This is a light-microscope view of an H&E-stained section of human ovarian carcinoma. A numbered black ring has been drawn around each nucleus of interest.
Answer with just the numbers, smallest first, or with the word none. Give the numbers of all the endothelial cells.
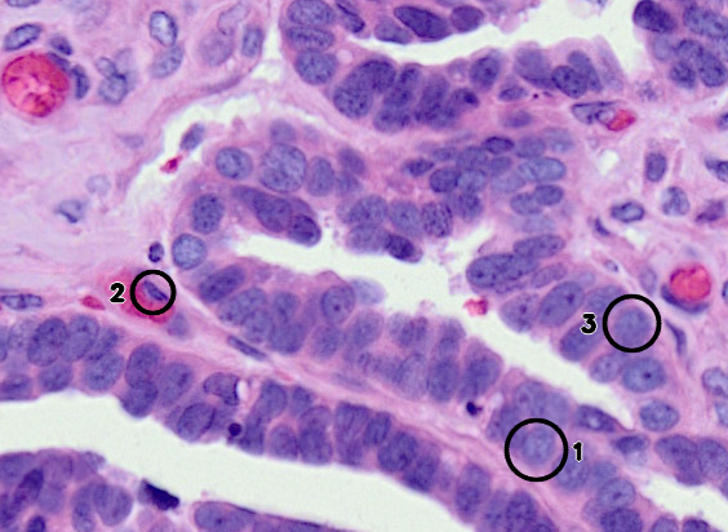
2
